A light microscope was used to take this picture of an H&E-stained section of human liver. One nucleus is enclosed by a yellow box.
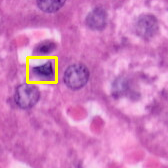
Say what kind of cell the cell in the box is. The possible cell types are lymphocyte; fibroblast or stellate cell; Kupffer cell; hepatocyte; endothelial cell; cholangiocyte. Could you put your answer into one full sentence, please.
Within this tissue, the cell in the box is a fibroblast or stellate cell.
